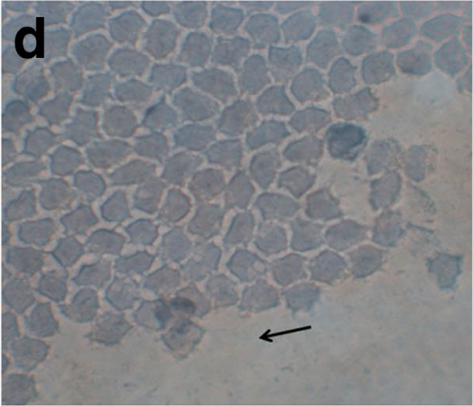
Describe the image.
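A sheet of corneal endothelial cells in which nearly every polygonal cell is stained grey-blue, separated by pale gaps. Towards the lower right the cell layer breaks off with a ragged edge, leaving a bare area with no cells, a hole in the endothelium.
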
